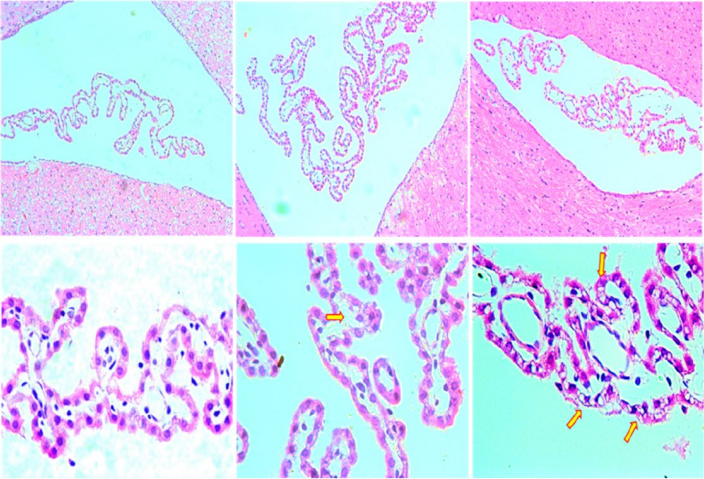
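Folded fronds float in a space bordered by brain tissue, each lined by a single layer of cuboidal cells with round nuclei and pink cytoplasm around thin cores; at high power some lining cells hold clear spaces and the lining looks thinned and irregular in places. This is choroid plexus epithelium, with some cells vesiculated.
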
